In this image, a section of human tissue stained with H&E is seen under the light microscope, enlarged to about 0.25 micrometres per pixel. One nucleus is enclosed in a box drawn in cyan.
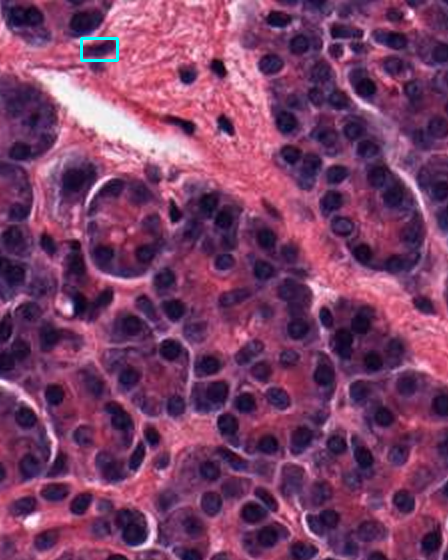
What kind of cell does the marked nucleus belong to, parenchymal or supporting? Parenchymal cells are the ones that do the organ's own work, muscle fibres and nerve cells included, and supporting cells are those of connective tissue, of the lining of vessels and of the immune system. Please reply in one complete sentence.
The cell holding the marked nucleus is identified as a supporting cell.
